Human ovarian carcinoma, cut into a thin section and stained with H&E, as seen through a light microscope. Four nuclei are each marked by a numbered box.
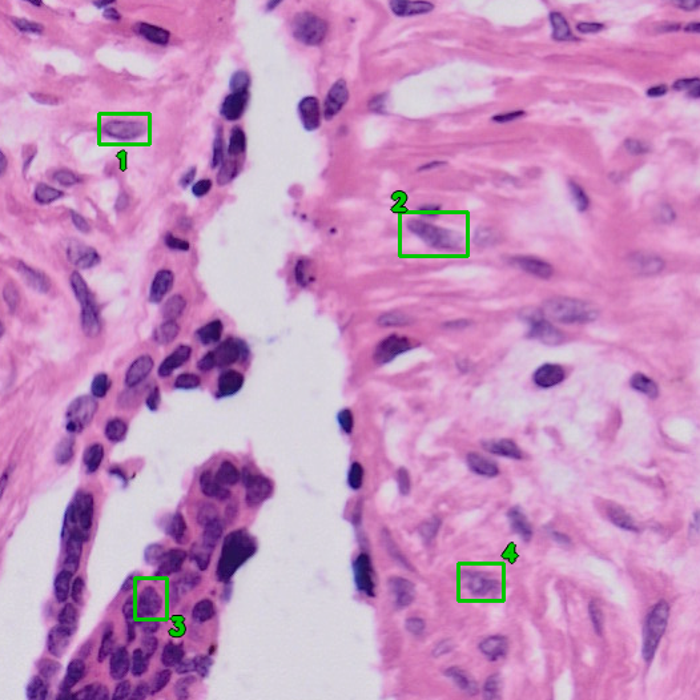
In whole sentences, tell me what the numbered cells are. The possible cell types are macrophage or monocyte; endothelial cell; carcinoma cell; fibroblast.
Cells 1, 2 and 4 are fibroblasts. Cell 3 is a carcinoma cell.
